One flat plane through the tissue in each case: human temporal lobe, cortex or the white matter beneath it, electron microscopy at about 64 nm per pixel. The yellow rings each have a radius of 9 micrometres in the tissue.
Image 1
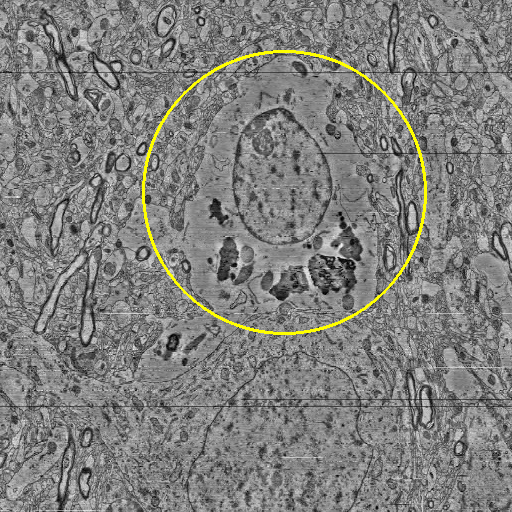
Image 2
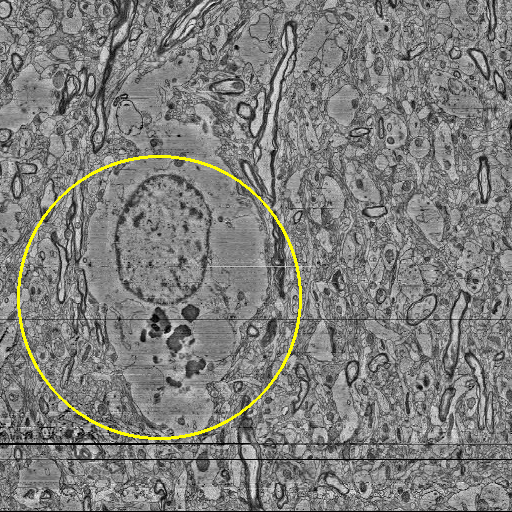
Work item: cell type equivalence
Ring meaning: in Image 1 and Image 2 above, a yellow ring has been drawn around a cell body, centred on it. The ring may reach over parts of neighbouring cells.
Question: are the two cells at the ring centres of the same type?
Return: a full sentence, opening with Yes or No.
Yes, the two centred cells are of the same type.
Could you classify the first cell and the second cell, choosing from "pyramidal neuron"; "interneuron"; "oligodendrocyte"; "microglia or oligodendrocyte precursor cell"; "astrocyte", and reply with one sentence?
Each cell, in the first picture and the second, is an astrocyte.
